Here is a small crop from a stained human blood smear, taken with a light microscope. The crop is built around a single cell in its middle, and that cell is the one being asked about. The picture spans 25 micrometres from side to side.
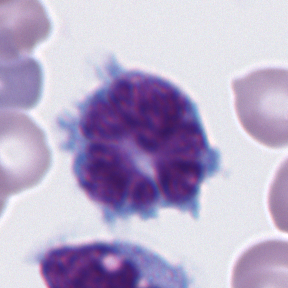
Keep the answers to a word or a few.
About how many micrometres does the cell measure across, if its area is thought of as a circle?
13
